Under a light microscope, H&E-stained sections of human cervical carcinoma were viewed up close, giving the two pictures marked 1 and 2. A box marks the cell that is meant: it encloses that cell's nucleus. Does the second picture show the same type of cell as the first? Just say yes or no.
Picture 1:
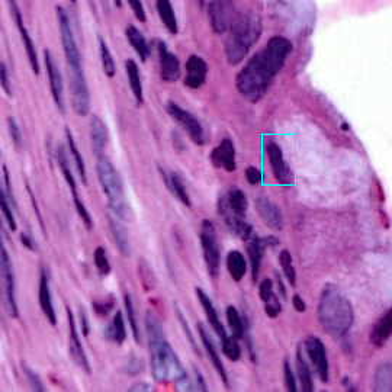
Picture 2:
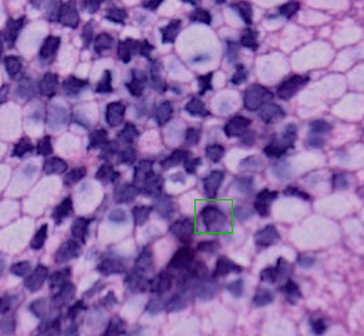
yes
